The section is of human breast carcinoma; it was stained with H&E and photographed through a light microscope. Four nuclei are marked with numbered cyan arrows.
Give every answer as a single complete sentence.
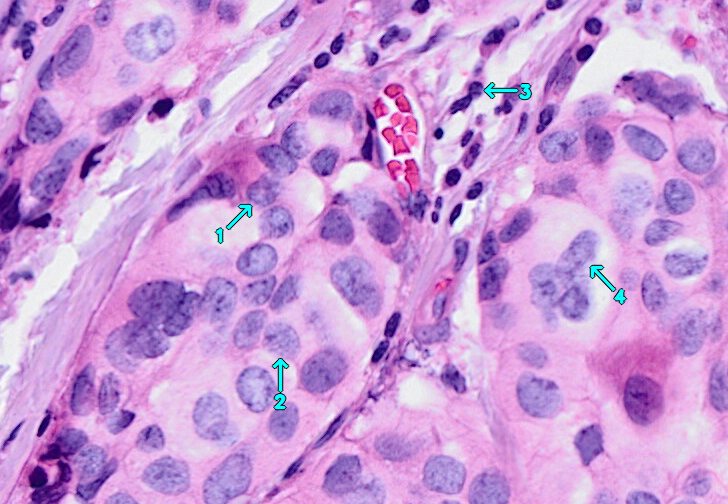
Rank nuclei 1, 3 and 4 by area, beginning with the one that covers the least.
From smallest to largest, the order is 3, 1, 4.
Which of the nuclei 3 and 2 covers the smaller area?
Number 3 is smaller, since number 2 takes up about 4 times as much area.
